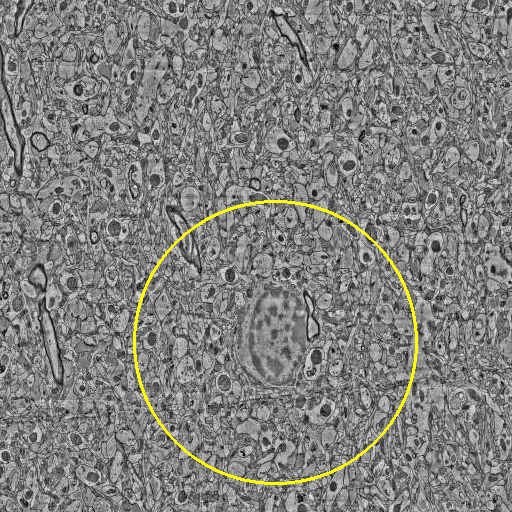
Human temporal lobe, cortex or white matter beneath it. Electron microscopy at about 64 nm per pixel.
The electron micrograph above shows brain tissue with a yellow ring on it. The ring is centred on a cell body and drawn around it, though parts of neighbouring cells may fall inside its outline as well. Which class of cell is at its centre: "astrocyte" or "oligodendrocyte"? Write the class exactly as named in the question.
oligodendrocyte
